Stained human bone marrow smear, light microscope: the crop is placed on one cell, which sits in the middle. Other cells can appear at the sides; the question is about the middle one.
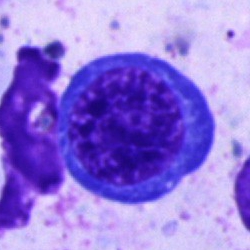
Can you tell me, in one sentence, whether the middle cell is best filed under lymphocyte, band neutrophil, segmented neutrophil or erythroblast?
The cell positioned in the middle of the field is an erythroblast.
